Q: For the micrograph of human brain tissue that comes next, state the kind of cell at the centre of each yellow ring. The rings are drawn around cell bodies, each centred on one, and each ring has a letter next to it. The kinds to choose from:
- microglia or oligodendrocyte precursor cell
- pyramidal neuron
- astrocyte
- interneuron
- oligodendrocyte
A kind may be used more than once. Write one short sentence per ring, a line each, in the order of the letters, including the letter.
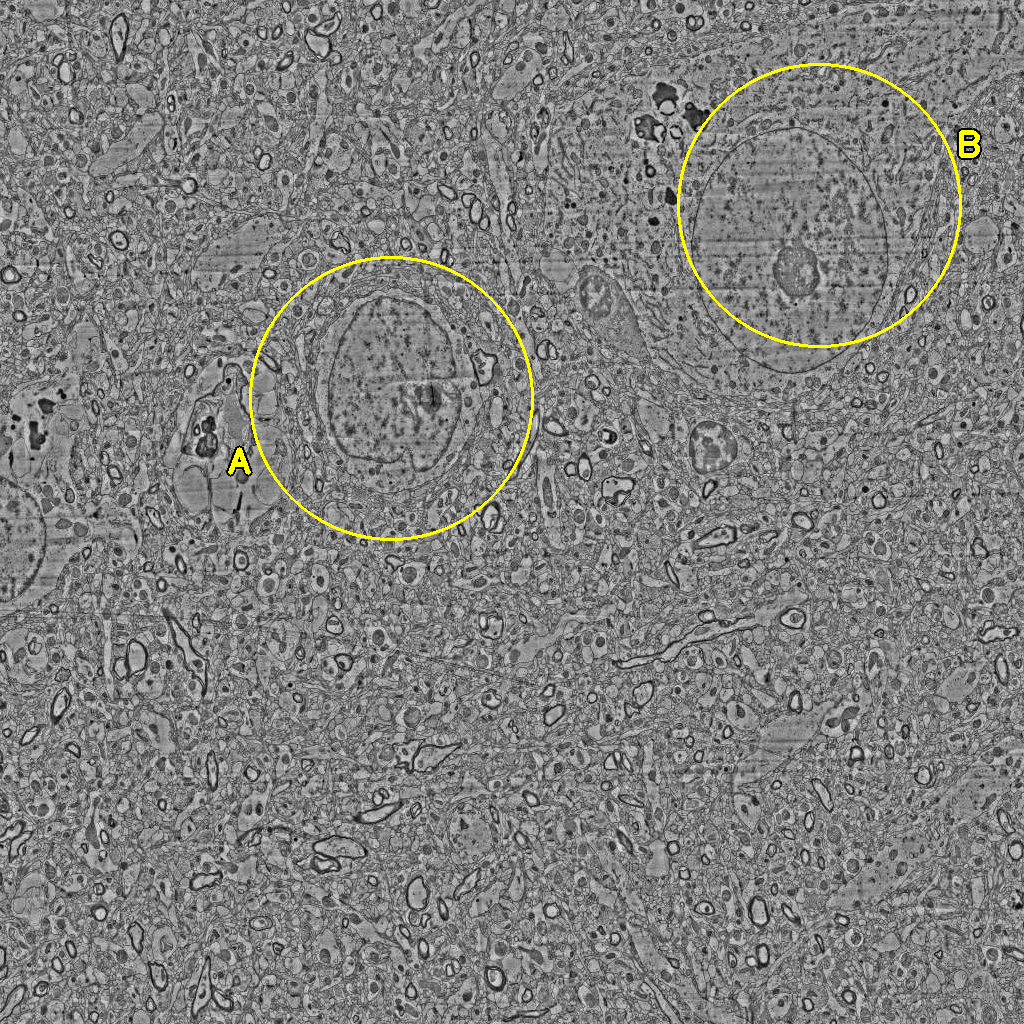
The cell ringed as A is an interneuron.
The cell ringed as B is a pyramidal neuron.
